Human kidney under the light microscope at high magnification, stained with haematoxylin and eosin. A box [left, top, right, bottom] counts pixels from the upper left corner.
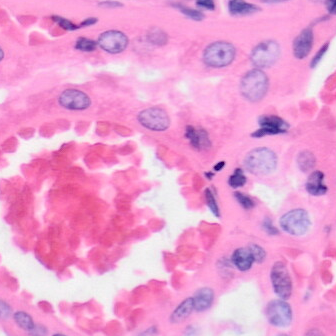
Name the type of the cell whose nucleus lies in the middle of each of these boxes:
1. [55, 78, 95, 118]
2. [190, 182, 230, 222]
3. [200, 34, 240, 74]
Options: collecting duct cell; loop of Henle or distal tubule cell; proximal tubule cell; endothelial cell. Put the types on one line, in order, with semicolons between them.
proximal tubule cell; endothelial cell; proximal tubule cell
